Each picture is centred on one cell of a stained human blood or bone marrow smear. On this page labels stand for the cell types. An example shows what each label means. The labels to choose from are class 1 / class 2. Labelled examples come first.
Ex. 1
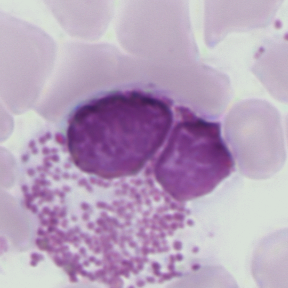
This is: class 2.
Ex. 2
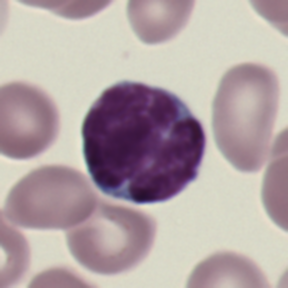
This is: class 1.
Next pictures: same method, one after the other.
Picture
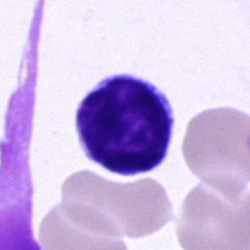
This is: class 1.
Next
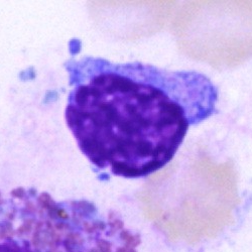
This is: class 1.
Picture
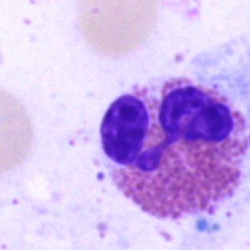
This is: class 2.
